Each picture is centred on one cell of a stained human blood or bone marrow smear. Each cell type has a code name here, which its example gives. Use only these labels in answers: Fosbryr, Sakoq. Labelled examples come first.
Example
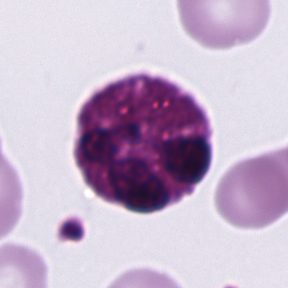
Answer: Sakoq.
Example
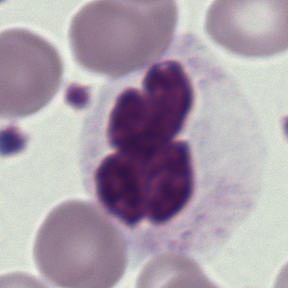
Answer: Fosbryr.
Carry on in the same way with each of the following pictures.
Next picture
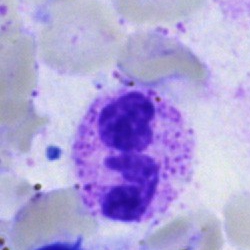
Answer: Fosbryr.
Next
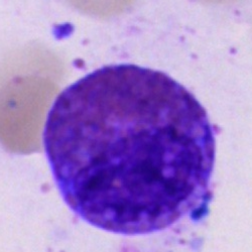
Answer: Sakoq.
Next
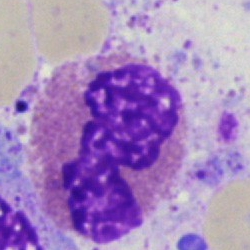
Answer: Sakoq.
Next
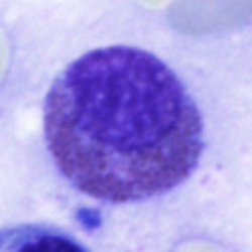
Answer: Sakoq.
